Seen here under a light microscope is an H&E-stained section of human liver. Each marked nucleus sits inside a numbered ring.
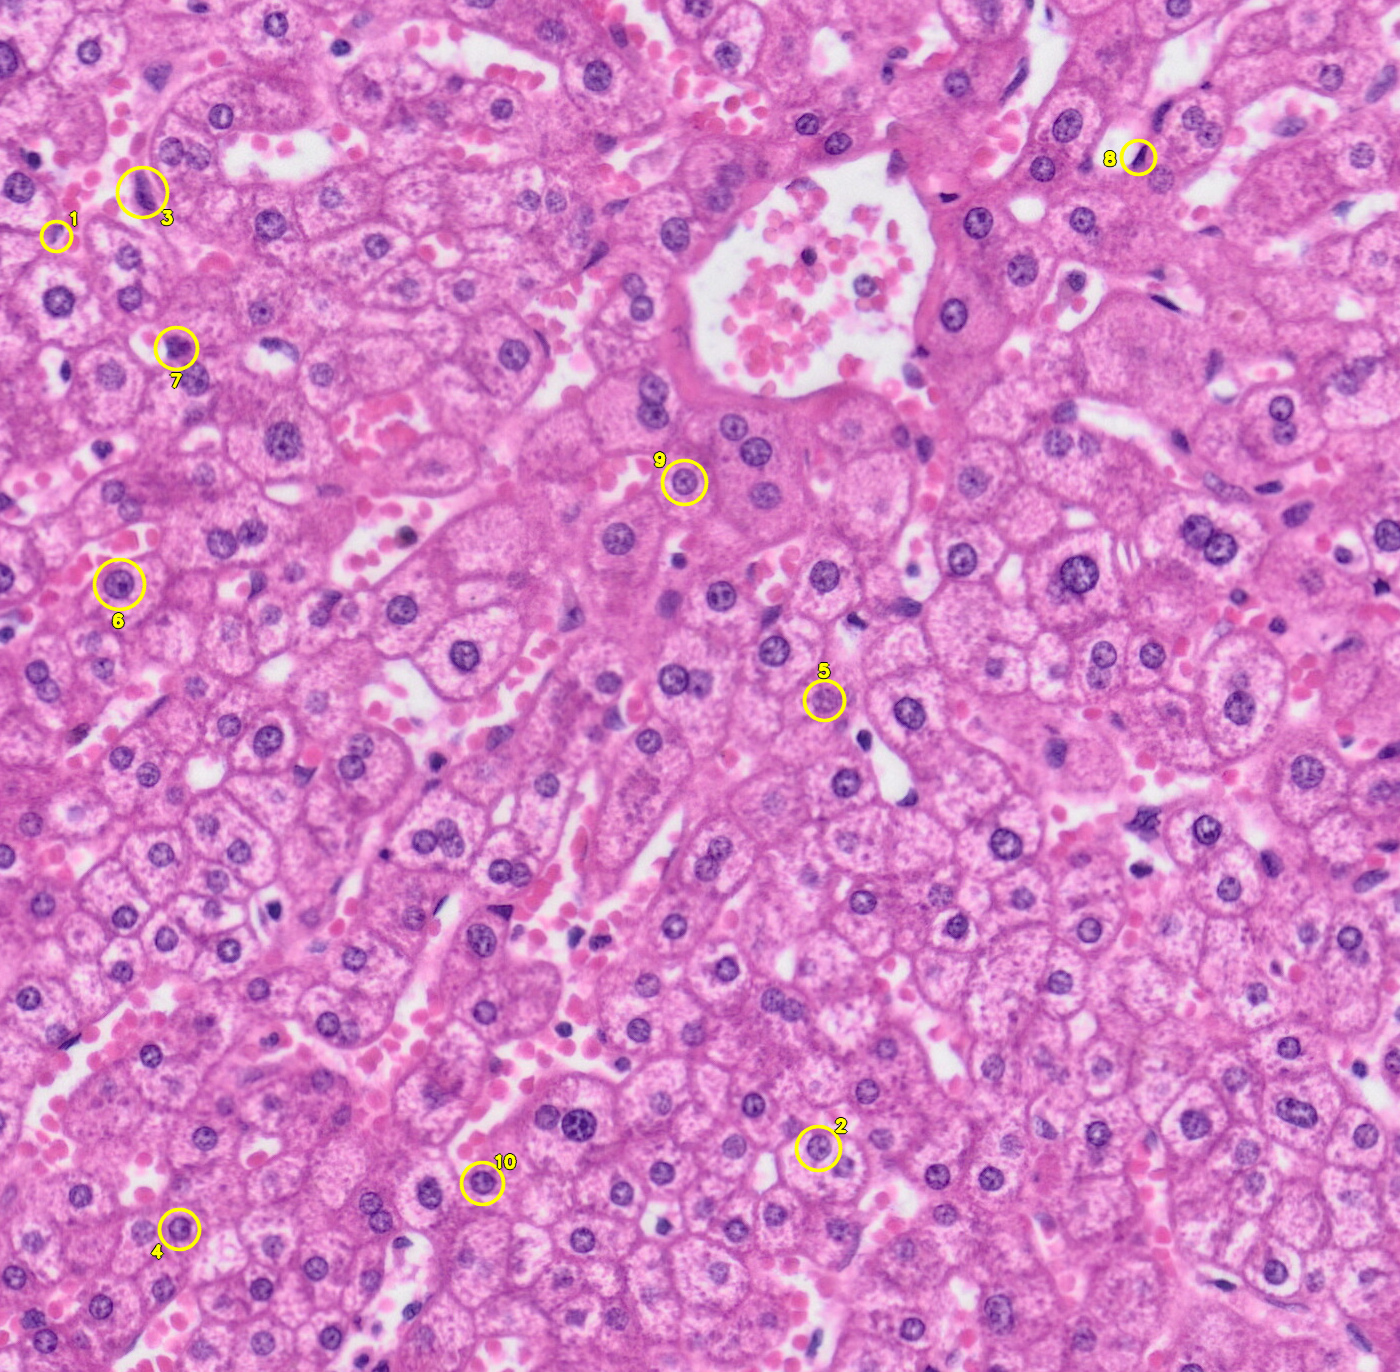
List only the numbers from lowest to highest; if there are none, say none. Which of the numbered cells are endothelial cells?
1, 7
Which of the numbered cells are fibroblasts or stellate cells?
8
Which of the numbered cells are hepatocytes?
2, 4, 5, 6, 9, 10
